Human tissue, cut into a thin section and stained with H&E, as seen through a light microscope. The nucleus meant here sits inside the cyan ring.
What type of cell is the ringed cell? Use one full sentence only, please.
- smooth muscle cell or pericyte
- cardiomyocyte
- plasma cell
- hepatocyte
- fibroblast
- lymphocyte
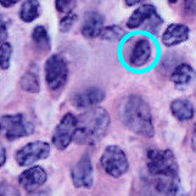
As classified here, the ringed cell is a lymphocyte.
